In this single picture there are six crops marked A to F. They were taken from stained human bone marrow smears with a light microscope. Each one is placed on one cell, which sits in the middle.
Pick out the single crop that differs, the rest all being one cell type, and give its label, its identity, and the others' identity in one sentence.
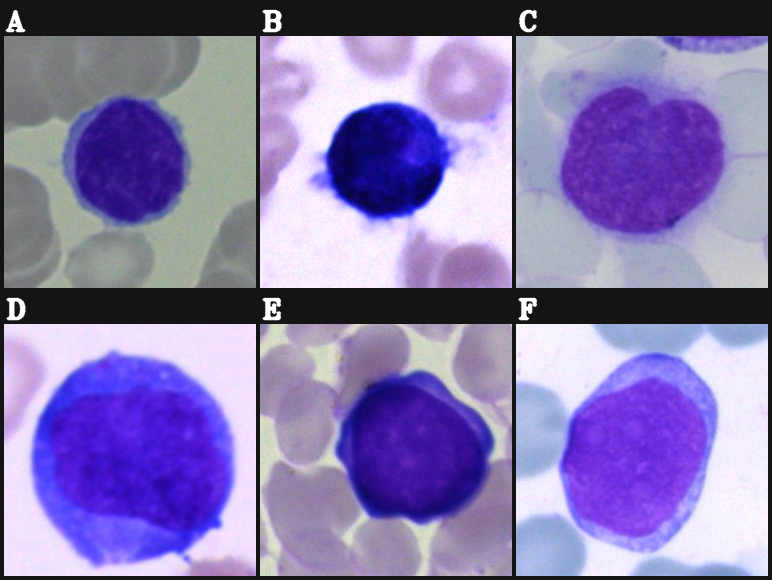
All the crops contain blasts save crop A, where there is a lymphocyte.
